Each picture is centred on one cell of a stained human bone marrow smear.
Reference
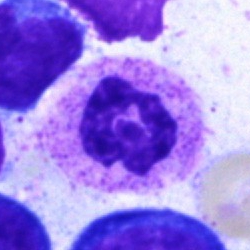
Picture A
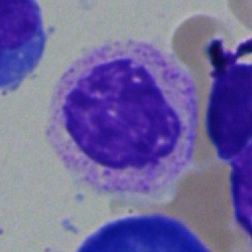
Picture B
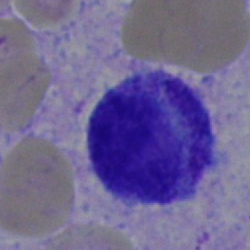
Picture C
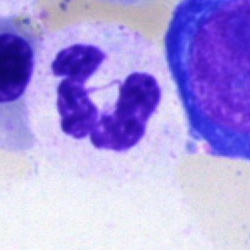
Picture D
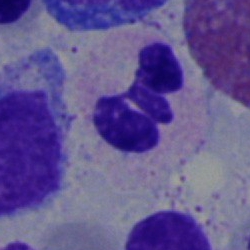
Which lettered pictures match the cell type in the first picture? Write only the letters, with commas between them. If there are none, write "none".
C, D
